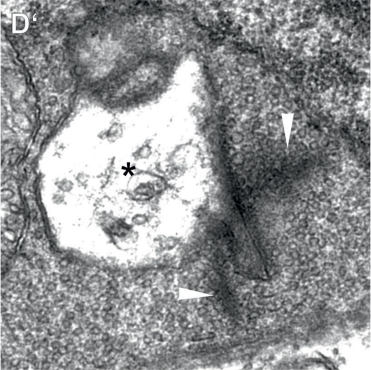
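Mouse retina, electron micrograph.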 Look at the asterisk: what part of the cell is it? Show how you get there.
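The asterisk lies in a large pale, electron-lucent profile. The pale profile borders the dense bar. The answer: postsynaptic elements.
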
